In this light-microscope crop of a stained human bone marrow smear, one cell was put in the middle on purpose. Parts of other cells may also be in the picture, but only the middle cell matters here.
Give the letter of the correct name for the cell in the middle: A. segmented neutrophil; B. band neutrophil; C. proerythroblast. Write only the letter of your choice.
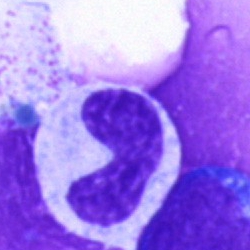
B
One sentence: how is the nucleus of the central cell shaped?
What stands out is a nucleus forming one compact round, oval or kidney-shaped mass.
